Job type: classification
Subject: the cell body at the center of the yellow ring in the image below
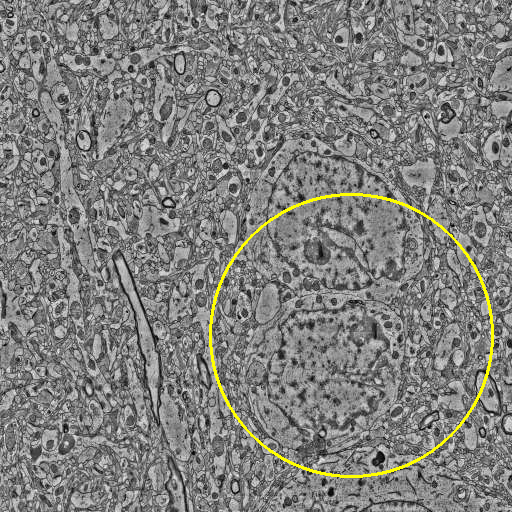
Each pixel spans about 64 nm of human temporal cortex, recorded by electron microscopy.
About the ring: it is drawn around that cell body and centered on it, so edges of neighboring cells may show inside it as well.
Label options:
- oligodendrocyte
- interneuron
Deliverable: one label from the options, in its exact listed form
interneuron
